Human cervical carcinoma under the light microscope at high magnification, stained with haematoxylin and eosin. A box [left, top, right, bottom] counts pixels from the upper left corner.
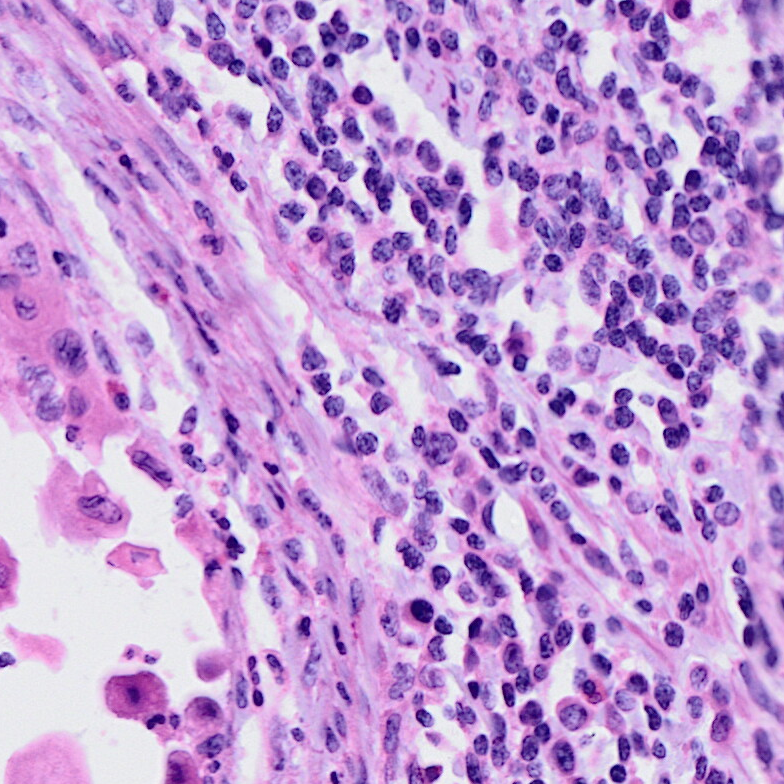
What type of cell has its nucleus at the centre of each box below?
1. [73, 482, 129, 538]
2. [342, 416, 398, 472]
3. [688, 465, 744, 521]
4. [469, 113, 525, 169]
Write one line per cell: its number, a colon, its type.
1: squamous carcinoma cell
2: lymphocyte
3: lymphocyte
4: lymphocyte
